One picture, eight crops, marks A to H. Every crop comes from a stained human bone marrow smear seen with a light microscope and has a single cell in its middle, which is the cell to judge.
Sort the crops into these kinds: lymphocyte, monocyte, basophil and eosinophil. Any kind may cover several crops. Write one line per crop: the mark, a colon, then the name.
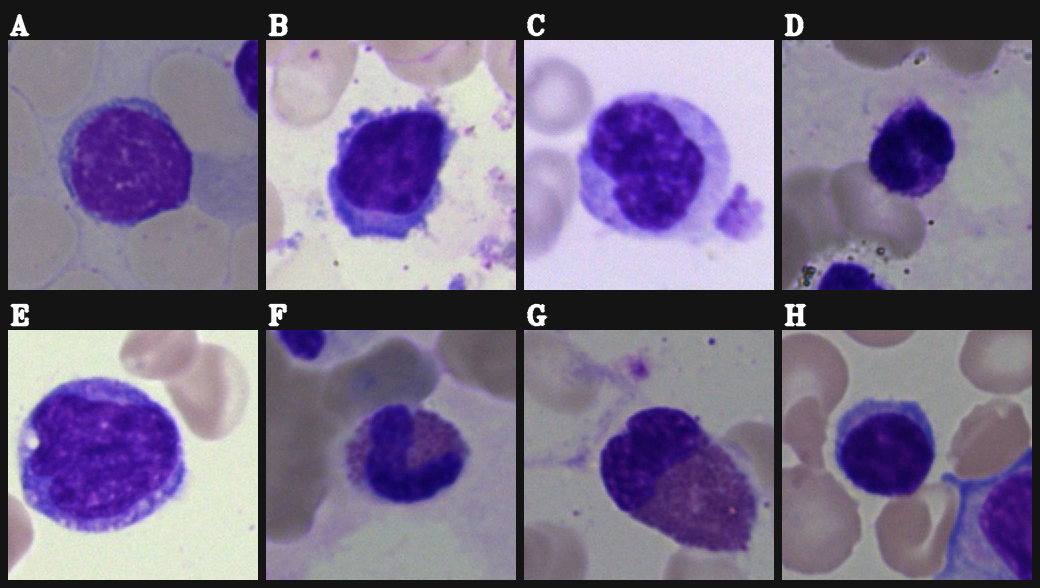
A: lymphocyte
B: lymphocyte
C: monocyte
D: basophil
E: monocyte
F: eosinophil
G: eosinophil
H: lymphocyte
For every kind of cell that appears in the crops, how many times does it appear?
lymphocyte: 3
monocyte: 2
eosinophil: 2
basophil: 1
